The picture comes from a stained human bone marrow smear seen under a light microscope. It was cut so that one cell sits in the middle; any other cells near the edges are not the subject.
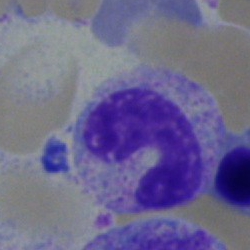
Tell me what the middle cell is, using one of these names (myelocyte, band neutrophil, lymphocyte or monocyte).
band neutrophil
